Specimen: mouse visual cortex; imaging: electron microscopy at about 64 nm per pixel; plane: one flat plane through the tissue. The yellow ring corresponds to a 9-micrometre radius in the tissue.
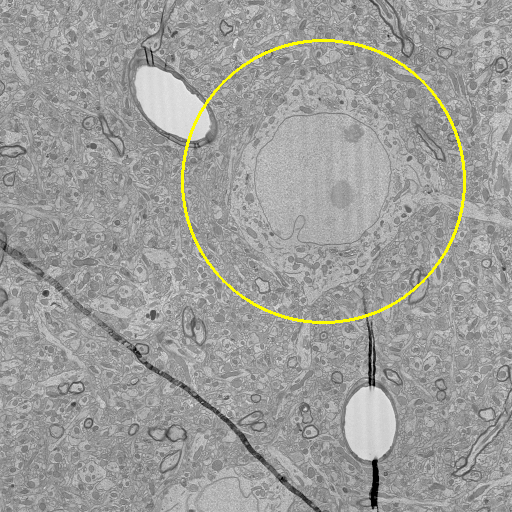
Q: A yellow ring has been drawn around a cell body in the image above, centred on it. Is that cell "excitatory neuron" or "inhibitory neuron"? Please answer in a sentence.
The ring surrounds the cell body of an excitatory neuron.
